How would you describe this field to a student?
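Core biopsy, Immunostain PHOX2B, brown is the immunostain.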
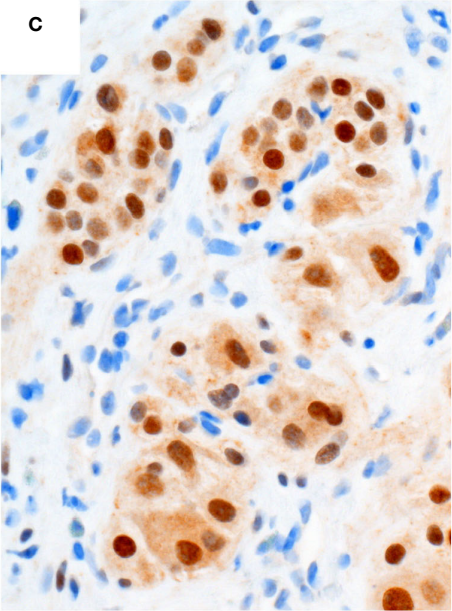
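This shows clusters of large neuroblastic cells in which the nuclei are stained brown, while the surrounding spindle cells have blue nuclei. The brown nuclei are round and vary in intensity from pale to dark, with some large cells holding more than one nucleus. The cytoplasm of the large cells shows a faint granular brownish tint. The clusters are separated by a pale stroma with scattered blue spindle nuclei.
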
